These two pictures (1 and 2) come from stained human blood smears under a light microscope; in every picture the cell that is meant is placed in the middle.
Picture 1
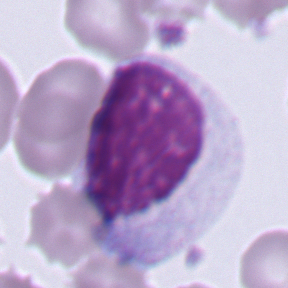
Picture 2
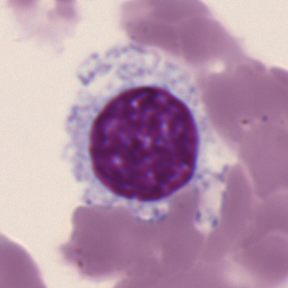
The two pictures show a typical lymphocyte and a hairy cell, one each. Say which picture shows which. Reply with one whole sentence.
It is picture 1 that shows a typical lymphocyte, and picture 2 that shows a hairy cell.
